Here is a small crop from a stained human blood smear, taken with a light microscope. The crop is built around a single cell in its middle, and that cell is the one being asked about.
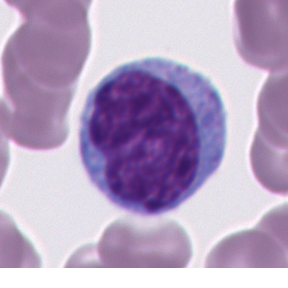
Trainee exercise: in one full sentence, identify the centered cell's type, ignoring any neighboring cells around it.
Here the cell in the middle is a monocyte.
